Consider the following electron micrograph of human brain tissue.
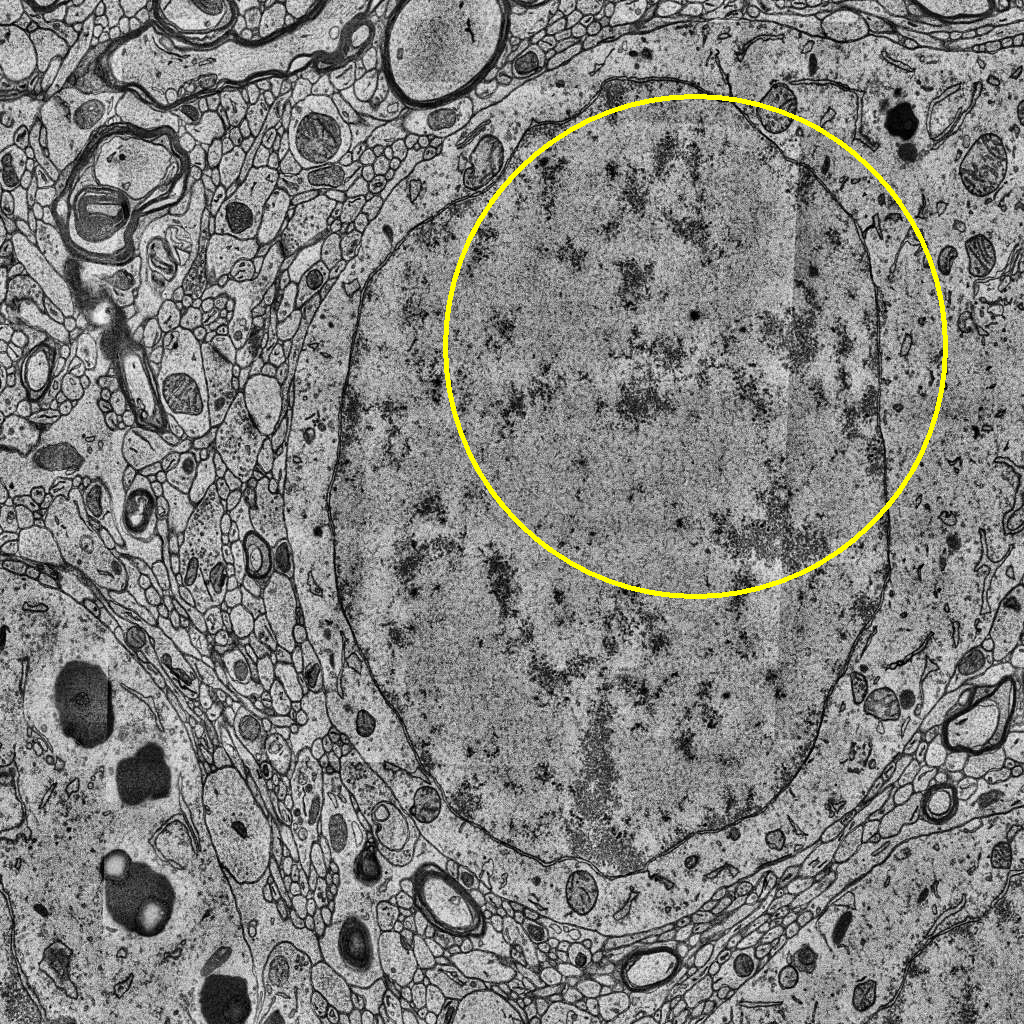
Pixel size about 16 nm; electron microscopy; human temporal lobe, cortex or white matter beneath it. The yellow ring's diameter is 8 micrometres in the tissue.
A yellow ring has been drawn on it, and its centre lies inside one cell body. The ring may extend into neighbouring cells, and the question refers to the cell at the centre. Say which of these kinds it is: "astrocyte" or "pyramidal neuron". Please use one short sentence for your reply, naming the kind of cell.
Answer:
The centre of the ring falls on a pyramidal neuron.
